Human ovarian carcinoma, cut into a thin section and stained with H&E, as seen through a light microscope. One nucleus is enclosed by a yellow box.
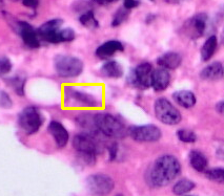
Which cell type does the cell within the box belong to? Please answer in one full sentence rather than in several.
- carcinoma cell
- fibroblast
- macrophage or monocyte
The identity of the cell within the box is that of a carcinoma cell.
